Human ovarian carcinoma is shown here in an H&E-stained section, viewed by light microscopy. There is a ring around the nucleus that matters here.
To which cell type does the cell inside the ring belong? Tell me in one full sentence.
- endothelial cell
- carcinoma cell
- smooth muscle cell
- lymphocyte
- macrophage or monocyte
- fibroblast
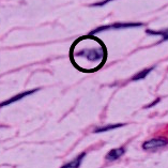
Histopathologically, the cell inside the ring is a fibroblast.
